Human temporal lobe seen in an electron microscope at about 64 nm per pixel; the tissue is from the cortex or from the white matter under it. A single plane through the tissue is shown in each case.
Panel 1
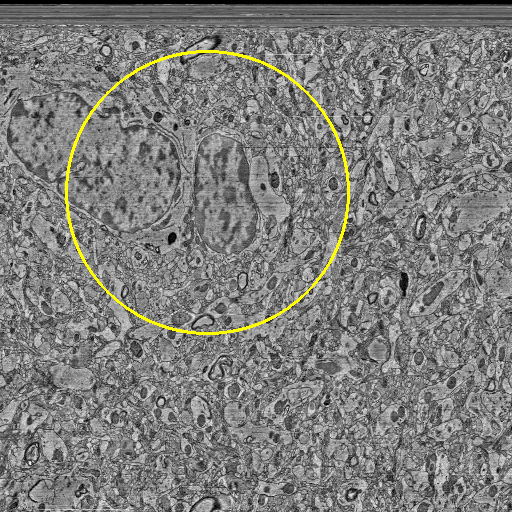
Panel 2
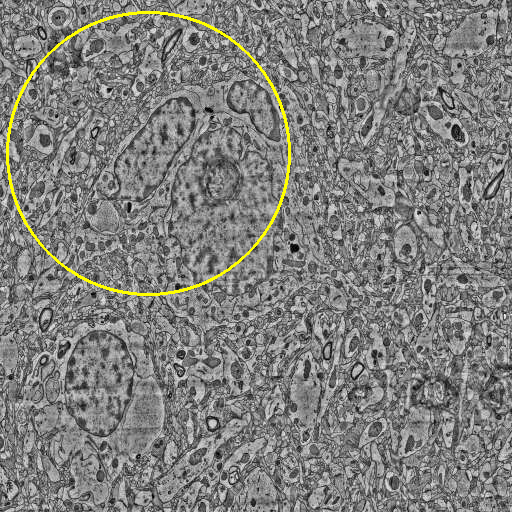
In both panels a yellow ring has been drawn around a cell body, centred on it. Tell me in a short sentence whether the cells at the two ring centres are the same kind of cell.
Yes, they are the same kind of cell.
